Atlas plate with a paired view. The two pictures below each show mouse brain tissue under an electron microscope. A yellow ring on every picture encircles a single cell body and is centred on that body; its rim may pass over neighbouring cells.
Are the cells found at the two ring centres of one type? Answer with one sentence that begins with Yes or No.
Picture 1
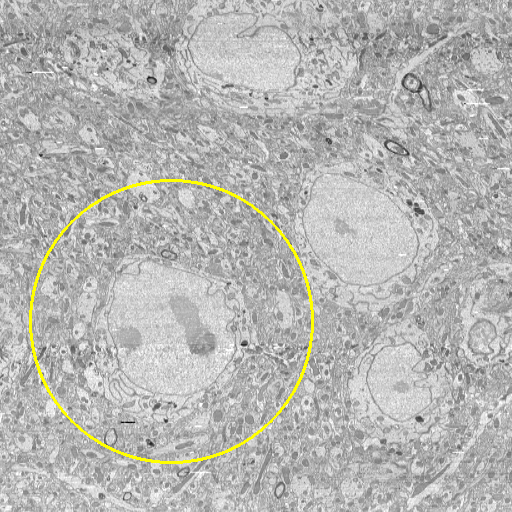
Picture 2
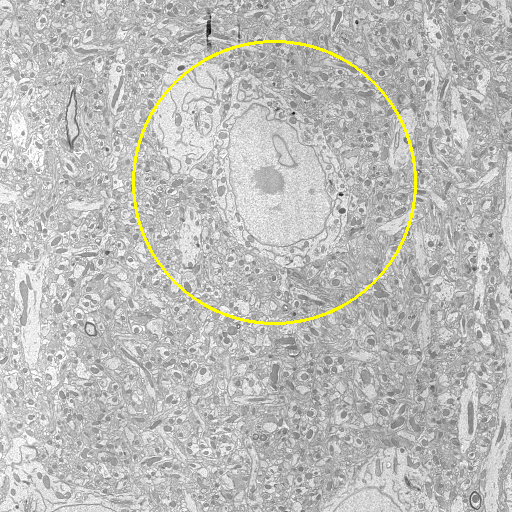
Yes, the two cells lying at the centres of the rings share a single type.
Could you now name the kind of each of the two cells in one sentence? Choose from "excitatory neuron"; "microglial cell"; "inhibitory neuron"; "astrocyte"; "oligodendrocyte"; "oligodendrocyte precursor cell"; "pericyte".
Each cell at the centre of a ring is an inhibitory neuron.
